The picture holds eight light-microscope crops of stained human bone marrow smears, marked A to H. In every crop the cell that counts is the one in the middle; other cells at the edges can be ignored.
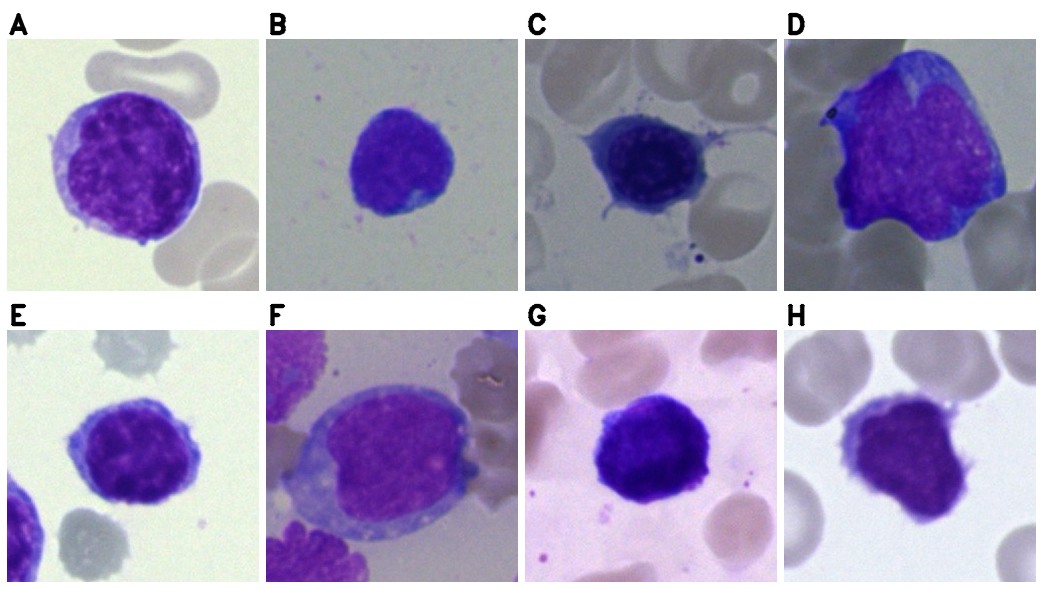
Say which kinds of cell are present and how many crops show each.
blast: 4
lymphocyte: 4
